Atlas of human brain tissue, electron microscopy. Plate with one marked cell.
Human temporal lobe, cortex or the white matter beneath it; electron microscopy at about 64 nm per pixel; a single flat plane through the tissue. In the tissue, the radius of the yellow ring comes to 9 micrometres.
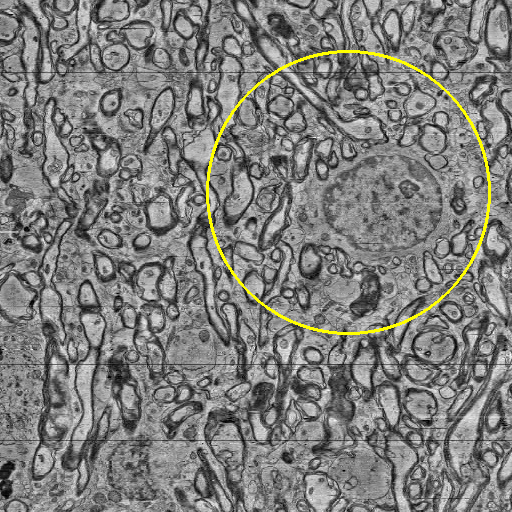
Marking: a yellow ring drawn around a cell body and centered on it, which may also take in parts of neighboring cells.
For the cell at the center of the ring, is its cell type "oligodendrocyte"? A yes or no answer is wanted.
Yes, that is its cell type.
